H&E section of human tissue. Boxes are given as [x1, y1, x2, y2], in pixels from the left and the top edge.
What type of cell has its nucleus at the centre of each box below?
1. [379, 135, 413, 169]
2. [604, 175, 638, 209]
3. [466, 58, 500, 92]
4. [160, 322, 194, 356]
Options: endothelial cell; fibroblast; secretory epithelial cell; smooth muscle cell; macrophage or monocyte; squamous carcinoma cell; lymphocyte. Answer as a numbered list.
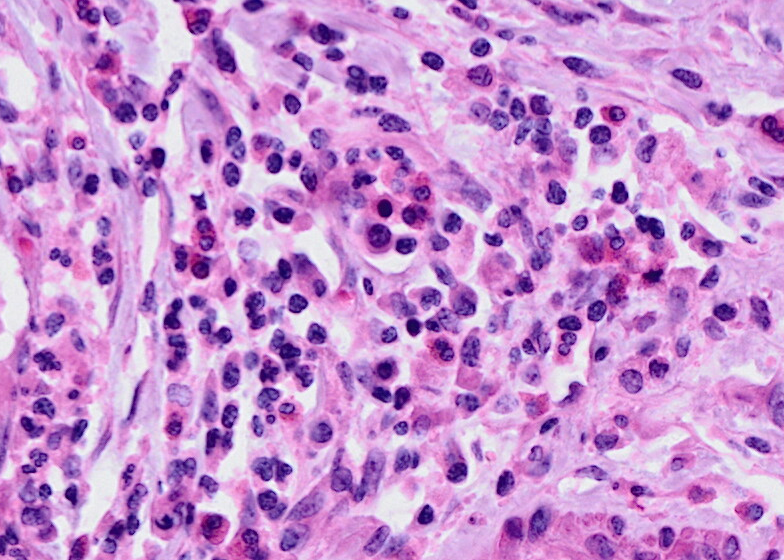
1. lymphocyte
2. lymphocyte
3. macrophage or monocyte
4. lymphocyte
